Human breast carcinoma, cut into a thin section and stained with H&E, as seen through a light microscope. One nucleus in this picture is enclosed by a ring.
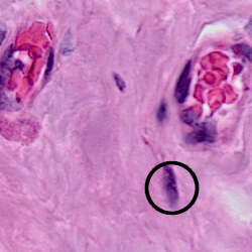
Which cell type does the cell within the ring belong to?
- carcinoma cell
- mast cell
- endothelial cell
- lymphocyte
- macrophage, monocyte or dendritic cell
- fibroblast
fibroblast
